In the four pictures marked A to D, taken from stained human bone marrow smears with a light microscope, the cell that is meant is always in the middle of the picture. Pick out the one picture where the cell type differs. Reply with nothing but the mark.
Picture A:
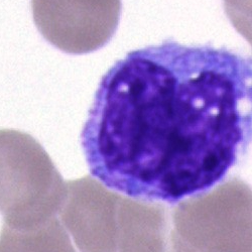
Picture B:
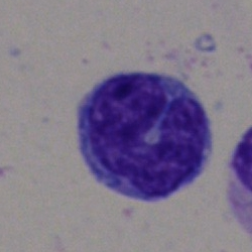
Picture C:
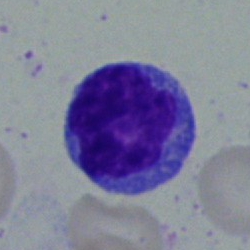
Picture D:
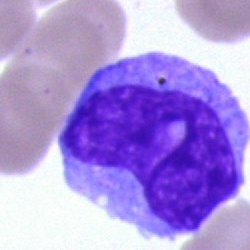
C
